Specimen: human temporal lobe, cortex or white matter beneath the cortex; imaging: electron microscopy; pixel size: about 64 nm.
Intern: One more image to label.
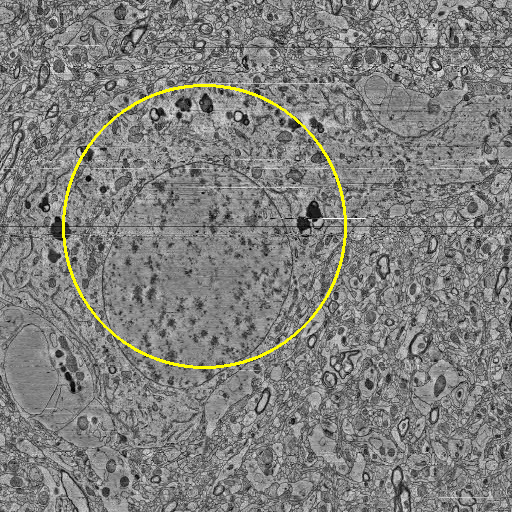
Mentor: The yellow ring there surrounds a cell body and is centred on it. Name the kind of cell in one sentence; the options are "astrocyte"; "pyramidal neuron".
The ring marks the cell body of a pyramidal neuron.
